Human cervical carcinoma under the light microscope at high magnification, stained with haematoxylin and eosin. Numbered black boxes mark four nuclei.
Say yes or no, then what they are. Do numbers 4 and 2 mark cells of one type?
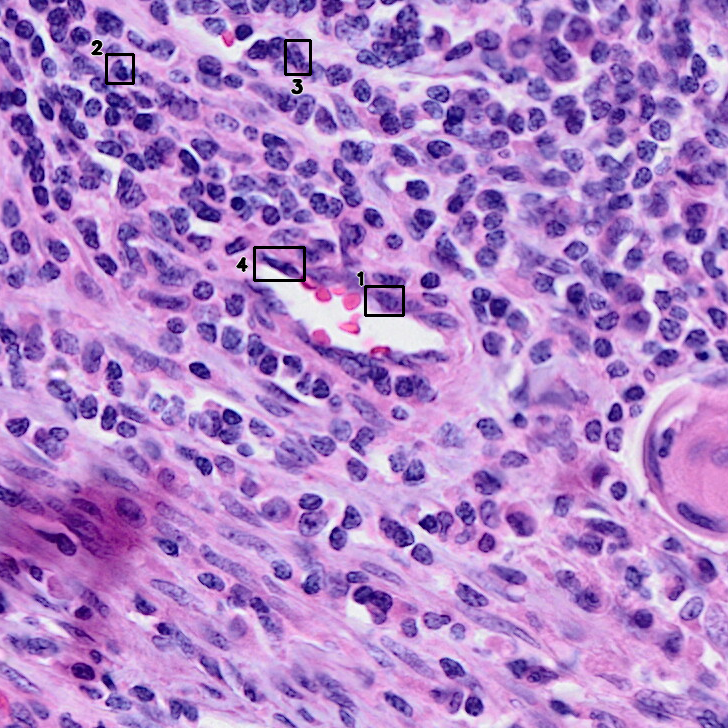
No, cell 4 is an endothelial cell and cell 2 is a lymphocyte.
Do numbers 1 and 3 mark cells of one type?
No, cell 1 is an endothelial cell and cell 3 is a lymphocyte.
